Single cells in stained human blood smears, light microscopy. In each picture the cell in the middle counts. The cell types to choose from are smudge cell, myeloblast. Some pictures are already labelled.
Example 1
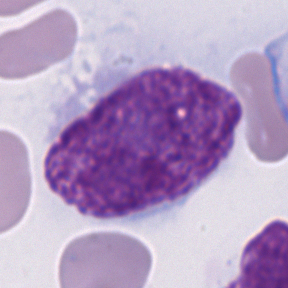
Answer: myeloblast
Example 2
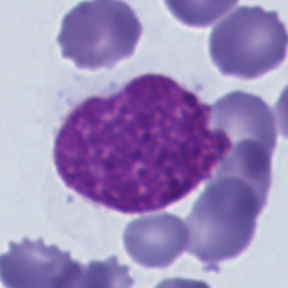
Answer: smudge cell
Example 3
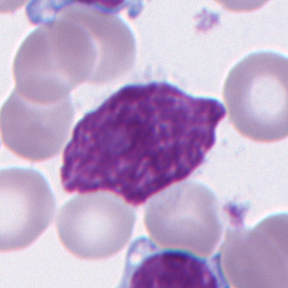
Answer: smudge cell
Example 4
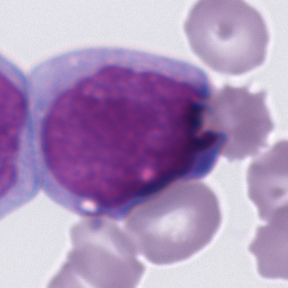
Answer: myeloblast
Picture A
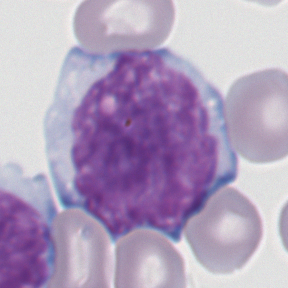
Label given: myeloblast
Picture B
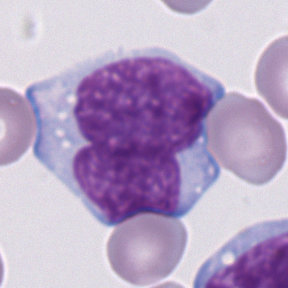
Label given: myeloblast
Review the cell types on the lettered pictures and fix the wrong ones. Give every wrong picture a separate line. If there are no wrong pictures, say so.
All correct.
